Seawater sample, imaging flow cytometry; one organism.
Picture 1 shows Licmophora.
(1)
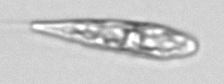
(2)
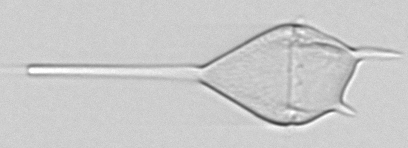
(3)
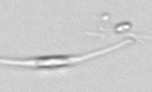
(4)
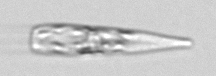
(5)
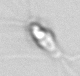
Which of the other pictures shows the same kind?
Picture 4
